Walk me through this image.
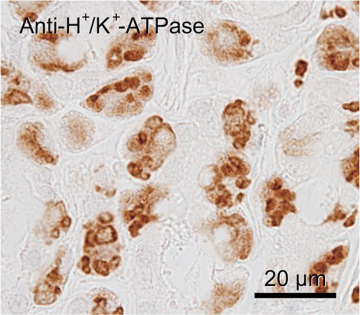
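The labelled cells are large and rounded to polygonal, with coarse granular brown material filling much of the cytoplasm. In several of them a paler central area marks where the nucleus lies. The brown cells are scattered among smaller, unstained, pale cells whose outlines are faint. No counterstain colours the nuclei of the surrounding cells.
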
